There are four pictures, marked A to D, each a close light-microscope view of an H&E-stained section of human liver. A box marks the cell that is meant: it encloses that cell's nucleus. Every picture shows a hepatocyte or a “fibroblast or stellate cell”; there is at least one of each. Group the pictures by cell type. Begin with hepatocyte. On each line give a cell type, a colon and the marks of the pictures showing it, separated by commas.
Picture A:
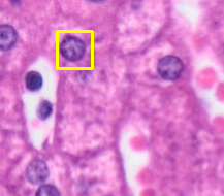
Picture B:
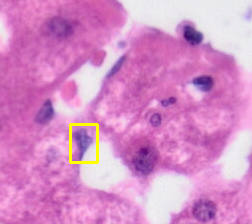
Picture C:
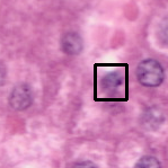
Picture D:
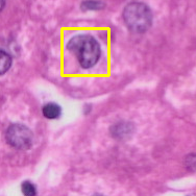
hepatocyte: A, D
fibroblast or stellate cell: B, C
